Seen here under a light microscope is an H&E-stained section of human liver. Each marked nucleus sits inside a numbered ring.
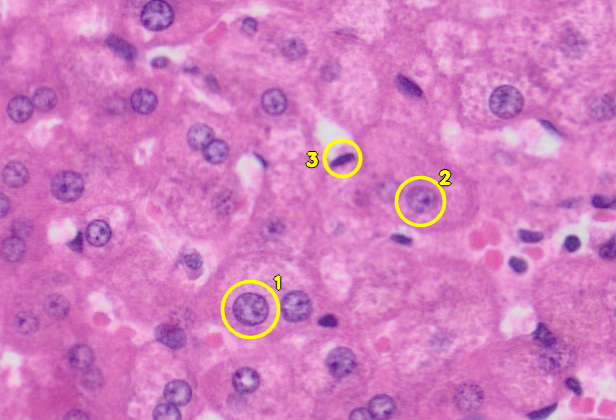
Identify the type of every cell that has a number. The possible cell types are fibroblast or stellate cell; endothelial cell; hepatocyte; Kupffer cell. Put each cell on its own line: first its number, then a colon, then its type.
1: hepatocyte
2: hepatocyte
3: endothelial cell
